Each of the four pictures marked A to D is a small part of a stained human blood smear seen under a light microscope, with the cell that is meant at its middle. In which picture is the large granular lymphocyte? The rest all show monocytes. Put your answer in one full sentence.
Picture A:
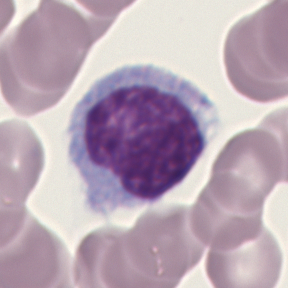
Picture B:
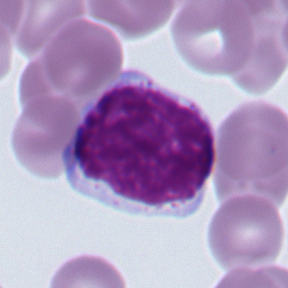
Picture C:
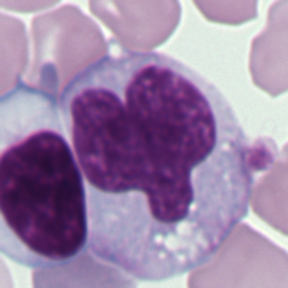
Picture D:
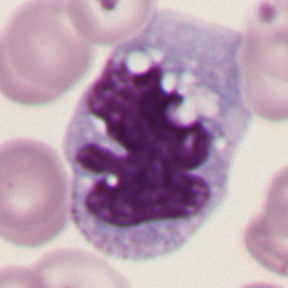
It is picture B that shows the large granular lymphocyte.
